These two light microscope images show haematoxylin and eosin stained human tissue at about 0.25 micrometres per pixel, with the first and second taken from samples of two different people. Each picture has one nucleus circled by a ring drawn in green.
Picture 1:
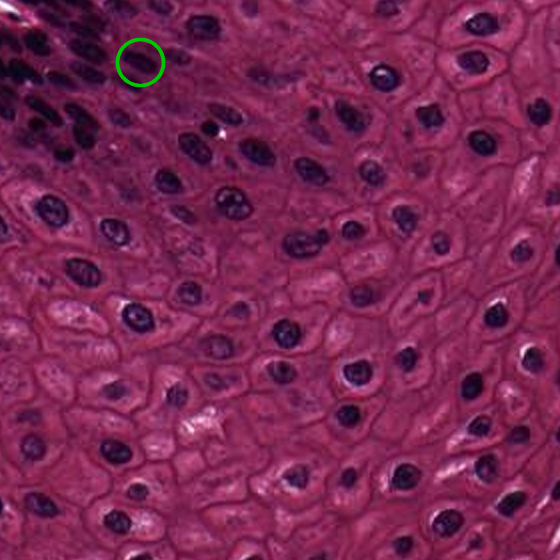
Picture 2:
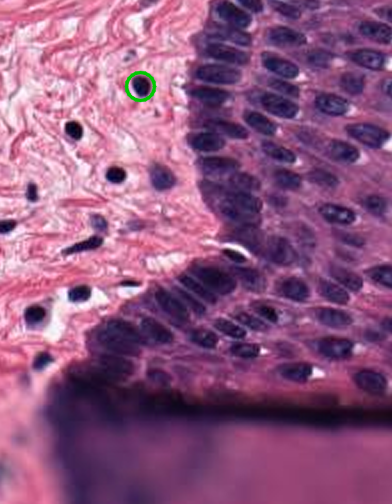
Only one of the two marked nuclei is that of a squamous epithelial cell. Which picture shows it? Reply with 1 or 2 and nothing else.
1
